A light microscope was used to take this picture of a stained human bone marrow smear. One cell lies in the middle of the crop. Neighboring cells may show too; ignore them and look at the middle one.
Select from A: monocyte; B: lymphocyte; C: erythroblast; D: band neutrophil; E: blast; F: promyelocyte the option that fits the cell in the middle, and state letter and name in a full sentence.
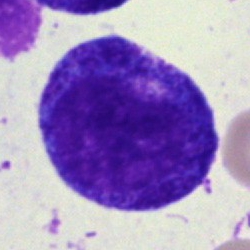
Option F correctly states that the central cell is a promyelocyte.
